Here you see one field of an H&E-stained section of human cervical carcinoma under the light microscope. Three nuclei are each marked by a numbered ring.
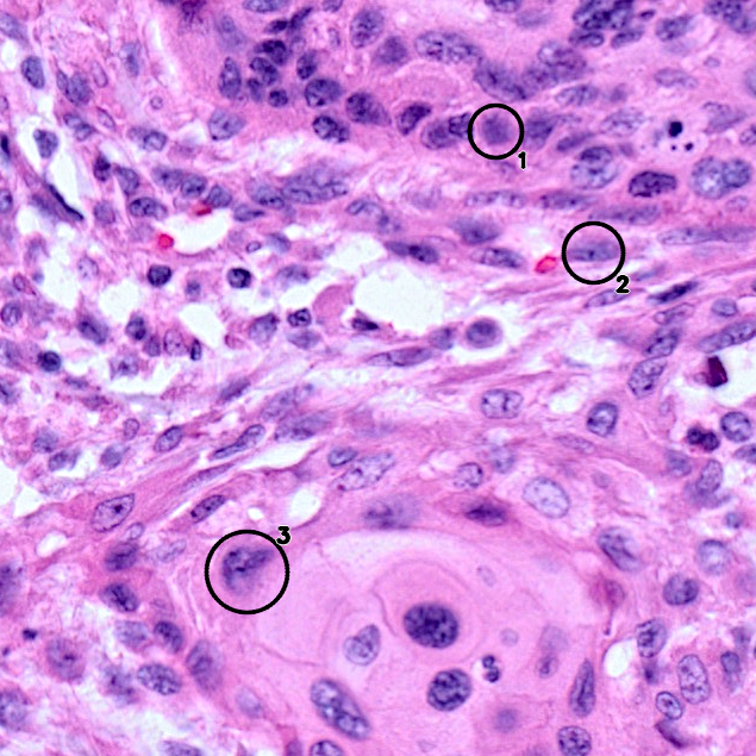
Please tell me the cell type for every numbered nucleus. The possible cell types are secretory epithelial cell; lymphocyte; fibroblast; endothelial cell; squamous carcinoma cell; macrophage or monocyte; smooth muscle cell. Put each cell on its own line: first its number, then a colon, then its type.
1: squamous carcinoma cell
2: endothelial cell
3: squamous carcinoma cell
